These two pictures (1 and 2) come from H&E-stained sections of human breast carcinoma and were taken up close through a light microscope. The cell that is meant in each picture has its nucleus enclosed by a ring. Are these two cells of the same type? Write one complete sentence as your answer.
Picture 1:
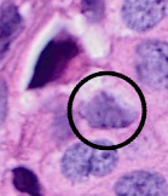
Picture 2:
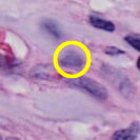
No, the types are not the same, since picture 1 shows a carcinoma cell and picture 2 an endothelial cell.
